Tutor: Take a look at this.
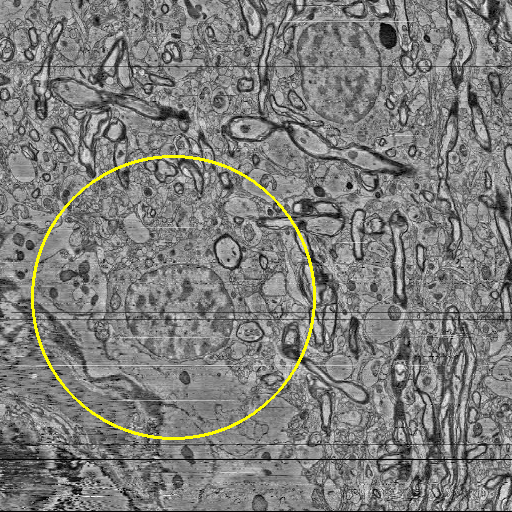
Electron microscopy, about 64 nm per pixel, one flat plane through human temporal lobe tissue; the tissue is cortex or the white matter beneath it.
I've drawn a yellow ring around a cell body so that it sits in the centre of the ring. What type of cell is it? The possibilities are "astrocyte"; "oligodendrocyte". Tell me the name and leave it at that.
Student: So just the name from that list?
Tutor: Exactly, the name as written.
oligodendrocyte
